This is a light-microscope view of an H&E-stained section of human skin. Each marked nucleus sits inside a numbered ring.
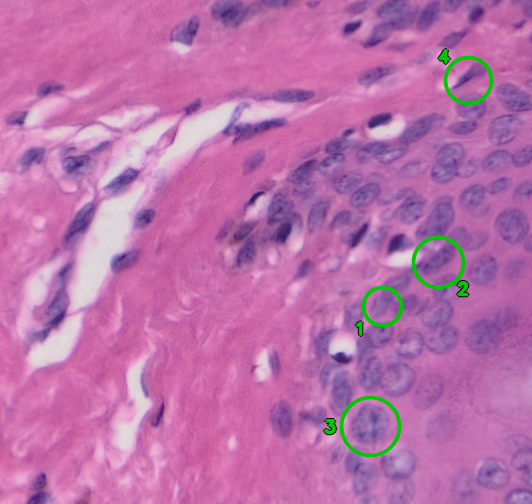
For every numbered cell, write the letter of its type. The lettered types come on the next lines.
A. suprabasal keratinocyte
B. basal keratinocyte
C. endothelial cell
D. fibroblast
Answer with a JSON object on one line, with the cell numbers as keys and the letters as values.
{"1": "B", "2": "B", "3": "B", "4": "D"}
